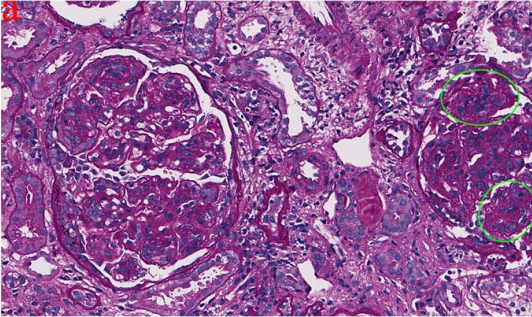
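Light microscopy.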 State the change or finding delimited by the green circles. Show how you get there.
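The circled areas lie within a glomerular tuft. The circled areas are crowded with densely packed nuclei in expanded matrix.
Hyperplasia of glomerular mesangial cells.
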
